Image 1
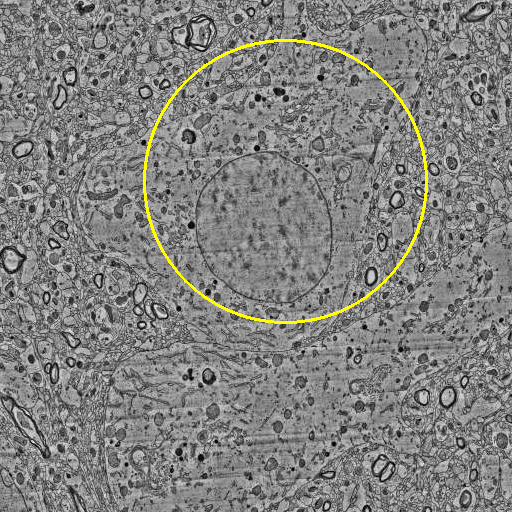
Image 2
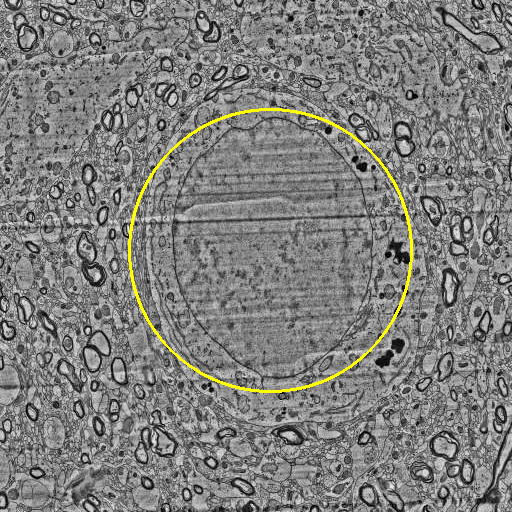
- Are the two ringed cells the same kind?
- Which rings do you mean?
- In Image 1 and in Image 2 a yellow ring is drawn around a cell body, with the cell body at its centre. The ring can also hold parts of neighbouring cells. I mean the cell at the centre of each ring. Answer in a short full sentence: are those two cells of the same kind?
Yes, both cells are of the same kind.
